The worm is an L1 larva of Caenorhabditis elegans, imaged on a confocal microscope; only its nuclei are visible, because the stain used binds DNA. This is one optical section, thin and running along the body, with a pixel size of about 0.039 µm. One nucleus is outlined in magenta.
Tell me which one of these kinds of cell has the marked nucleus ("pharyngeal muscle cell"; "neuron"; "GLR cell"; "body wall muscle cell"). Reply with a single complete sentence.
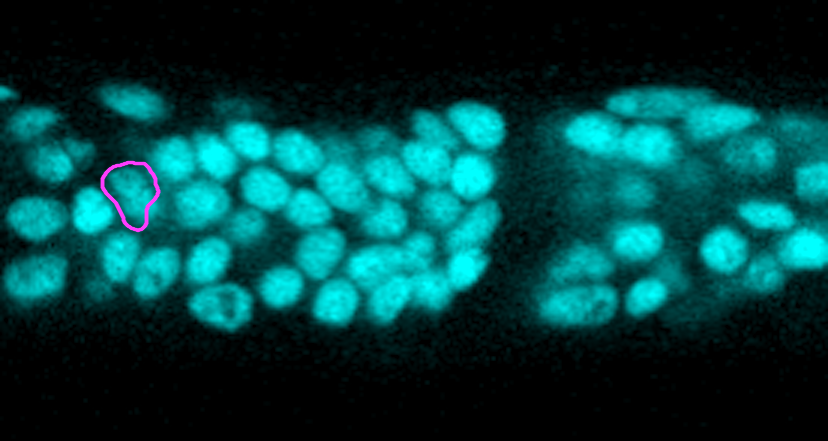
The marked nucleus is that of a pharyngeal muscle cell.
